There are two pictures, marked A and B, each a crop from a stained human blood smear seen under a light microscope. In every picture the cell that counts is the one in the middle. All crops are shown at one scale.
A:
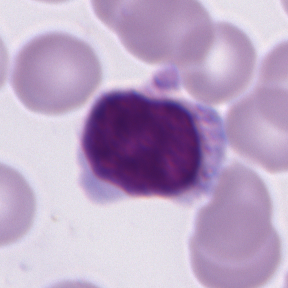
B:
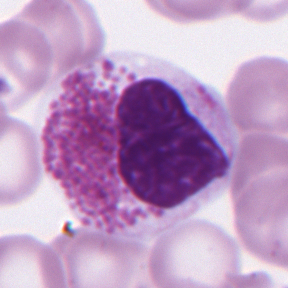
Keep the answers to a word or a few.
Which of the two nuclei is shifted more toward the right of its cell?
B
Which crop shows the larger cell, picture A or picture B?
B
